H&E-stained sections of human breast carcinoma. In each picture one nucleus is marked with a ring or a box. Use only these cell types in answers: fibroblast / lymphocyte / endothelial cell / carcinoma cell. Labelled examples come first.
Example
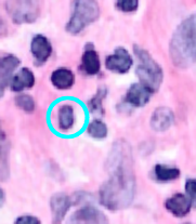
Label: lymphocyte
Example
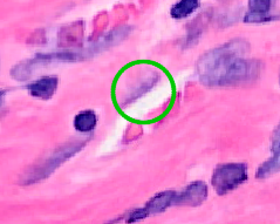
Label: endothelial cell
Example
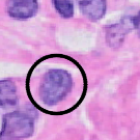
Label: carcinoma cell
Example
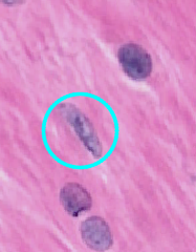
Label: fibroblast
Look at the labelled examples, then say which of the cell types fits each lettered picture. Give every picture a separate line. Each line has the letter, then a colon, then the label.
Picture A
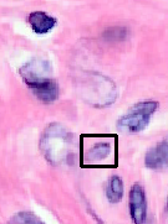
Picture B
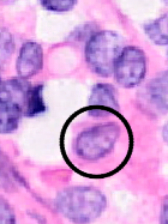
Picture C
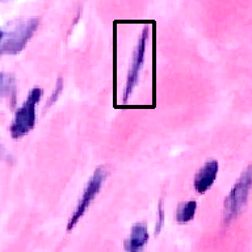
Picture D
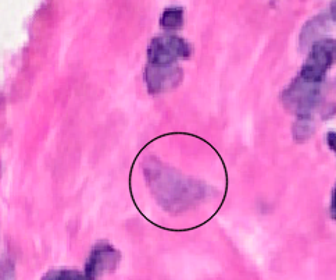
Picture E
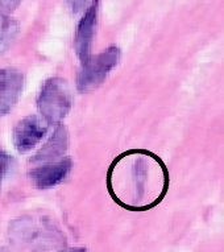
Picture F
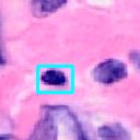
A: endothelial cell
B: carcinoma cell
C: fibroblast
D: fibroblast
E: fibroblast
F: lymphocyte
